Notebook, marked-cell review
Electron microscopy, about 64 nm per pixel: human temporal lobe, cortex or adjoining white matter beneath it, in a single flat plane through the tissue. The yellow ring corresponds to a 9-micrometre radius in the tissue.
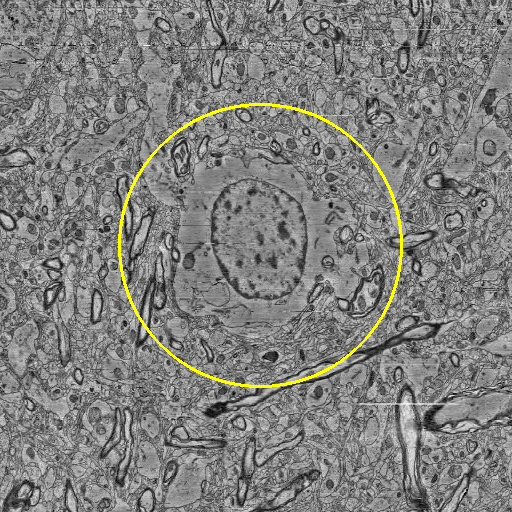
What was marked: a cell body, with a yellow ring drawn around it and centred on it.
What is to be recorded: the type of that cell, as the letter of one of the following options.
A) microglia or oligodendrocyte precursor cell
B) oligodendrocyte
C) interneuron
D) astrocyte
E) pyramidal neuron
D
